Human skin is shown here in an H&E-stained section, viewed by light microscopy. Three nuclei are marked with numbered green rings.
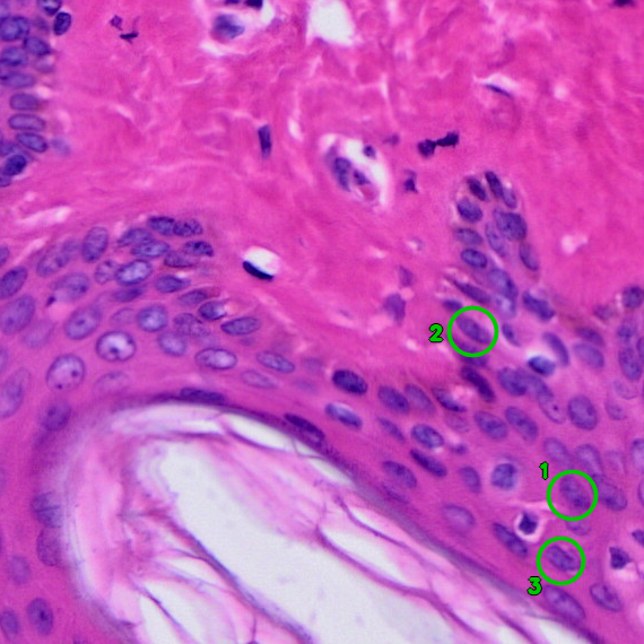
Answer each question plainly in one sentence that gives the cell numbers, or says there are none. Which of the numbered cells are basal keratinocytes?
Cell 2 is a basal keratinocyte, and it is the only numbered cell that is.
